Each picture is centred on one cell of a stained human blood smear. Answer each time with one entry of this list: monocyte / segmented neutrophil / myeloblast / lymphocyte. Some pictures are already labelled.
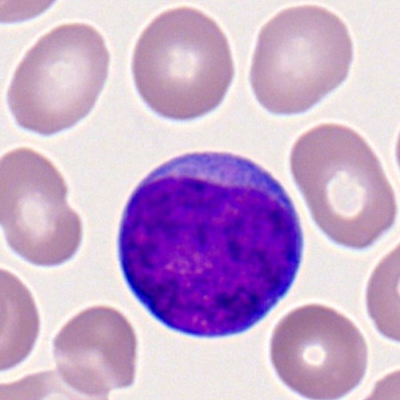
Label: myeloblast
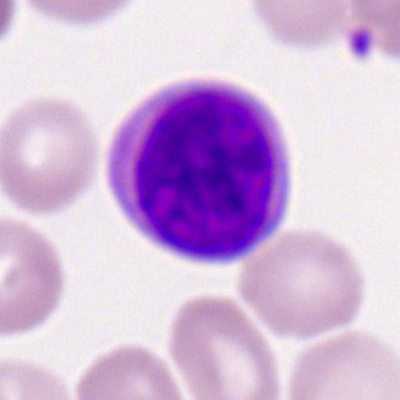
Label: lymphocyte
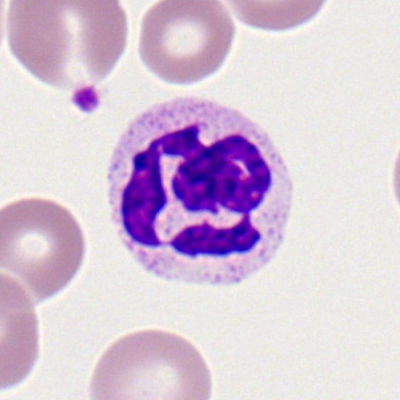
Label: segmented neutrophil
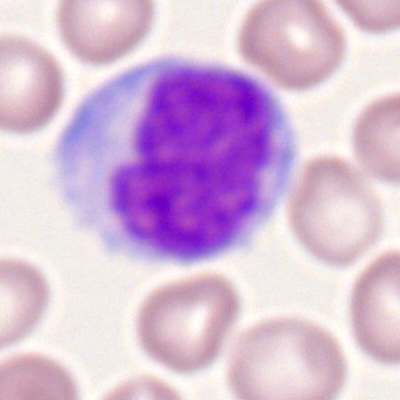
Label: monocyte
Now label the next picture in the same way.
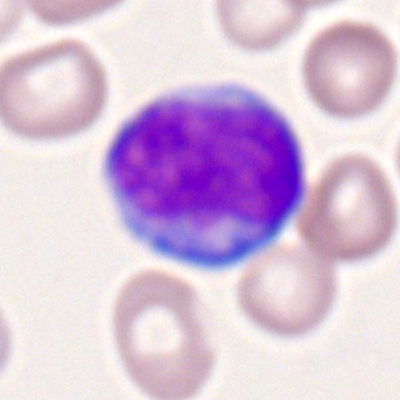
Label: myeloblast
